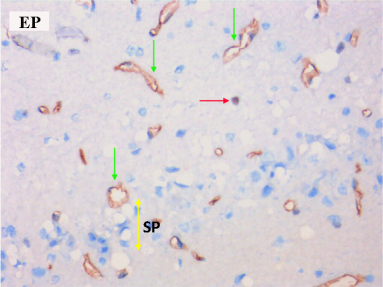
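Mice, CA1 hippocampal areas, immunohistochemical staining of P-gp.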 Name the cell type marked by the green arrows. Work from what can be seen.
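The green arrows point at brown-stained thin rims lining tubular and ring-shaped profiles. The stained profiles have open lumens, like small vessels cut lengthwise and across.
Answer: vascular endothelial cells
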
